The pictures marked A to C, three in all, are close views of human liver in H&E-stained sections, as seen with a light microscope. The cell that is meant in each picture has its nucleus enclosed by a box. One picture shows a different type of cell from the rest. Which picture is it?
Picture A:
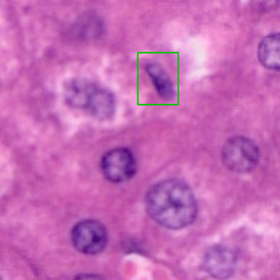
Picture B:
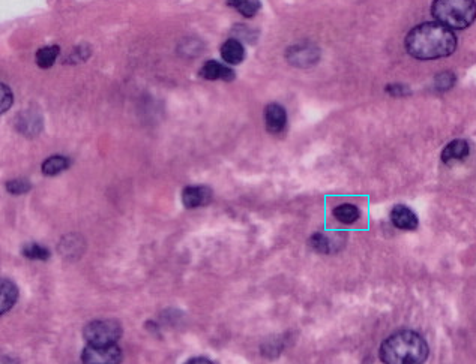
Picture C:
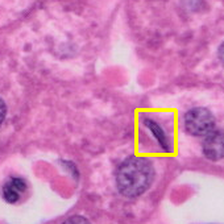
B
